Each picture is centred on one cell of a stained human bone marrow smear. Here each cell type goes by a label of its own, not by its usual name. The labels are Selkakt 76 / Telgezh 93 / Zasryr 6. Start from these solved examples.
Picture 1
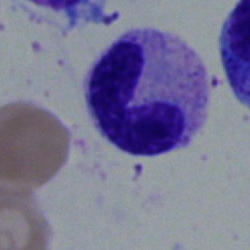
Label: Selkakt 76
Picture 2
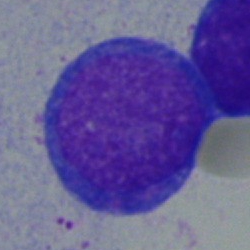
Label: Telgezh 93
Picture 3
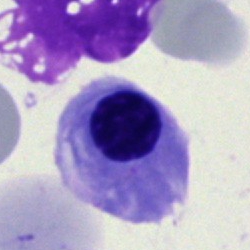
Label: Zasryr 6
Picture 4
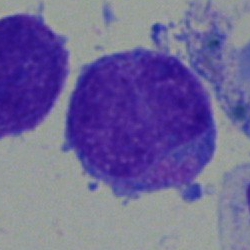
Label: Telgezh 93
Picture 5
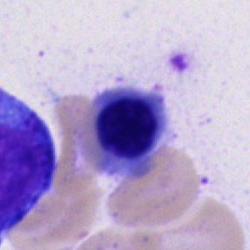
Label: Zasryr 6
